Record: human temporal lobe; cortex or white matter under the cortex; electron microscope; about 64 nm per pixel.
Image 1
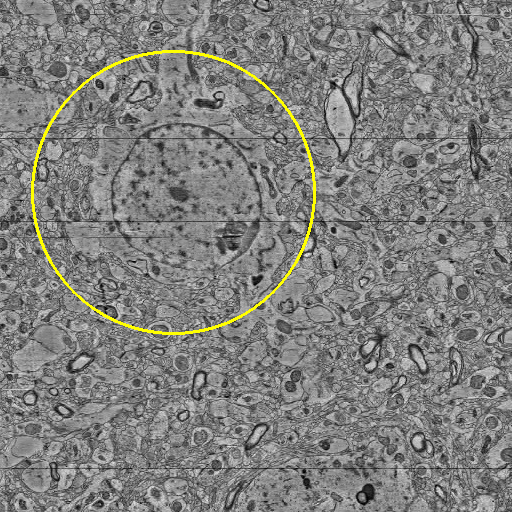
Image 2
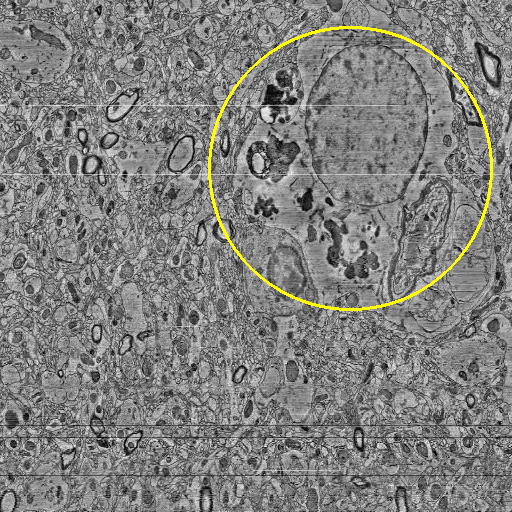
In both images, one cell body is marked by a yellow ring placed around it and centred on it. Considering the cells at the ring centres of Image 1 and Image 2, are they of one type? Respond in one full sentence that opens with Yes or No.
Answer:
Yes, a single type applies to the ring-centred cells of both Image 1 and Image 2.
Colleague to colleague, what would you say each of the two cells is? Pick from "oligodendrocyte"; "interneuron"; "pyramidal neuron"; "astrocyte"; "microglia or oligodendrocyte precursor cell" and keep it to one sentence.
Each of the two rings is centred on an astrocyte.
